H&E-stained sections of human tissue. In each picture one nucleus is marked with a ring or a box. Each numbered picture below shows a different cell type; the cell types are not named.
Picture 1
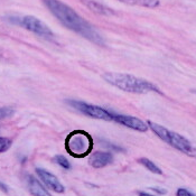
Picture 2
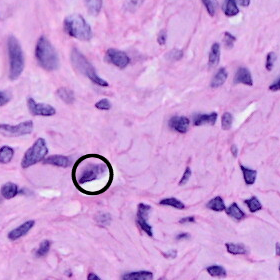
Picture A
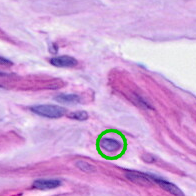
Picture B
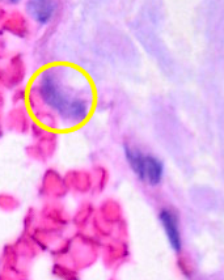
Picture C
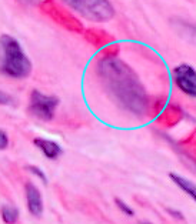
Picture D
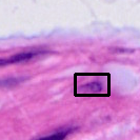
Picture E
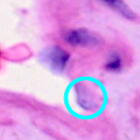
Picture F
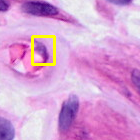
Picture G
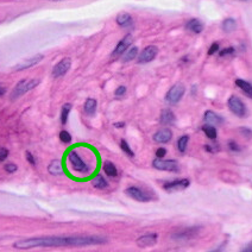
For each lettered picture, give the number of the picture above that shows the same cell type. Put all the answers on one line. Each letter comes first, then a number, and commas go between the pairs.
A 2, B 2, C 2, D 1, E 2, F 2, G 1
